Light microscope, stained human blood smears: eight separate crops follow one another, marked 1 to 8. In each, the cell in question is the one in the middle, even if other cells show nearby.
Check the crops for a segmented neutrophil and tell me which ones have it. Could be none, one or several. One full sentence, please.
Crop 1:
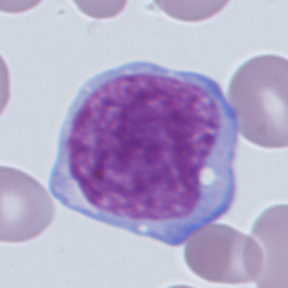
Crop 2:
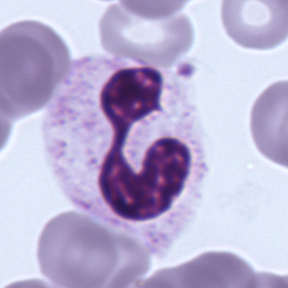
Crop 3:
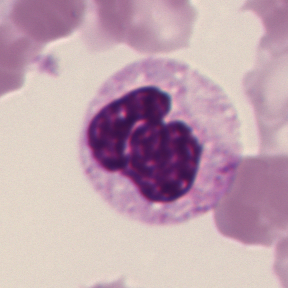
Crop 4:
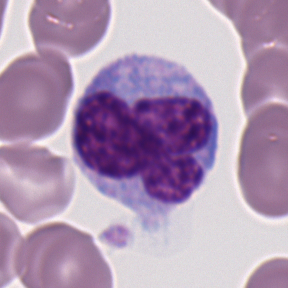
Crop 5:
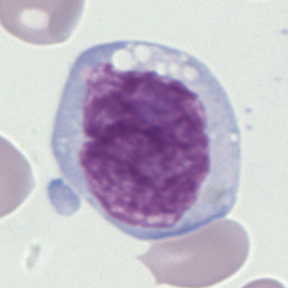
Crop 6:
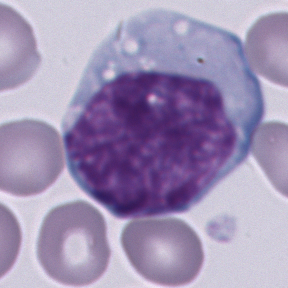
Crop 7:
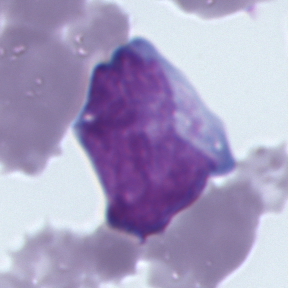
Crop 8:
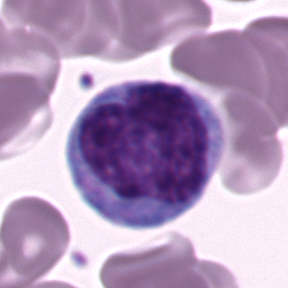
The middle cells in the crops marked 2 and 3 are segmented neutrophils.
